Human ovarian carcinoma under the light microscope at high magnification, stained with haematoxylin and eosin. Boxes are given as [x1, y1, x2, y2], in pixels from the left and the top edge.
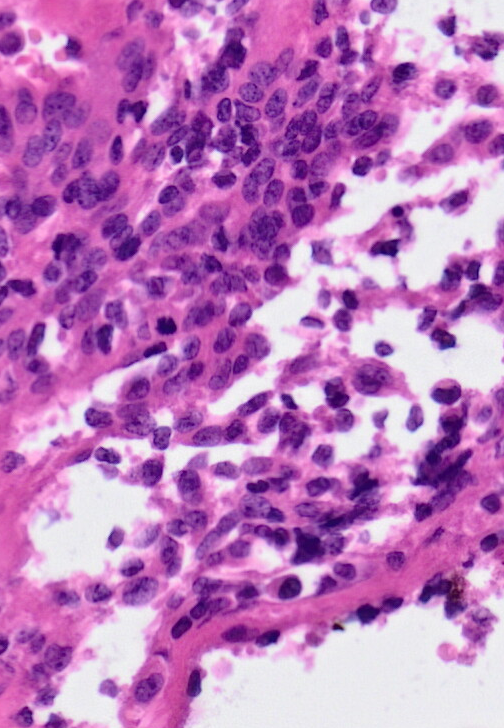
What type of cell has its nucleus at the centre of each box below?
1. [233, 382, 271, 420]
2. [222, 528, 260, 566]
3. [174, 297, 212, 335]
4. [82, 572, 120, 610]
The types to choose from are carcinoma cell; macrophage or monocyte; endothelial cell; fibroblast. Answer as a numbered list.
1. carcinoma cell
2. carcinoma cell
3. carcinoma cell
4. macrophage or monocyte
